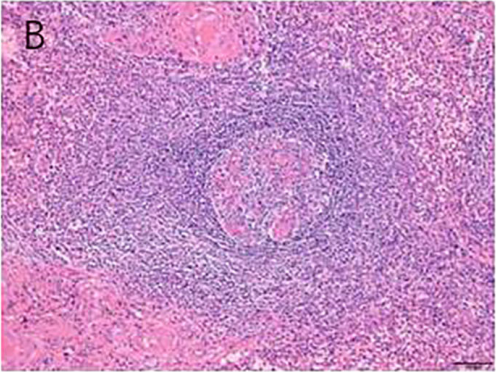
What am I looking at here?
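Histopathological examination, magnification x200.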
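A lymphoid follicle shows a small pale central area containing pink homogeneous material, surrounded by many small dark round lymphocytes packed in concentric layers like the skin of an onion. Around the follicle lies paler, looser tissue with pink blood-filled areas.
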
